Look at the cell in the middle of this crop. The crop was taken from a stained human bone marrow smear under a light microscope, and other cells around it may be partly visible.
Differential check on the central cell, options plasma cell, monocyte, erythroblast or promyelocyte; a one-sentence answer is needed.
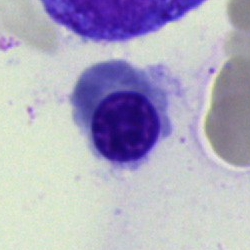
The cell of interest, in the center, is an erythroblast.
